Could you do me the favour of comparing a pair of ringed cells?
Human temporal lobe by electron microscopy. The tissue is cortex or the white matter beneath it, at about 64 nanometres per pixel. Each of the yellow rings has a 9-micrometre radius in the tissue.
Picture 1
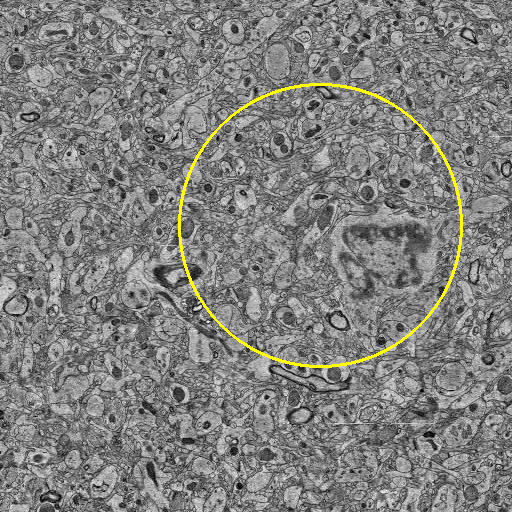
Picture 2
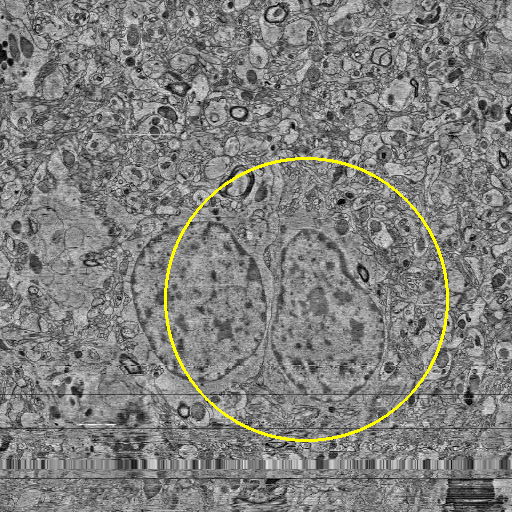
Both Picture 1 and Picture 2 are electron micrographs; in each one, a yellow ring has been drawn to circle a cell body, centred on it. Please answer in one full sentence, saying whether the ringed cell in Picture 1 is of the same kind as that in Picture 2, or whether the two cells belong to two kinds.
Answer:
The ringed cell in Picture 1 is of the same kind as that in Picture 2.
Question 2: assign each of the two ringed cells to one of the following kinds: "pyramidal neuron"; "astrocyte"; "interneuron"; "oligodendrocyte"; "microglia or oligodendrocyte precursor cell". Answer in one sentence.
Each of the two rings is centred on a microglial cell or oligodendrocyte precursor cell.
